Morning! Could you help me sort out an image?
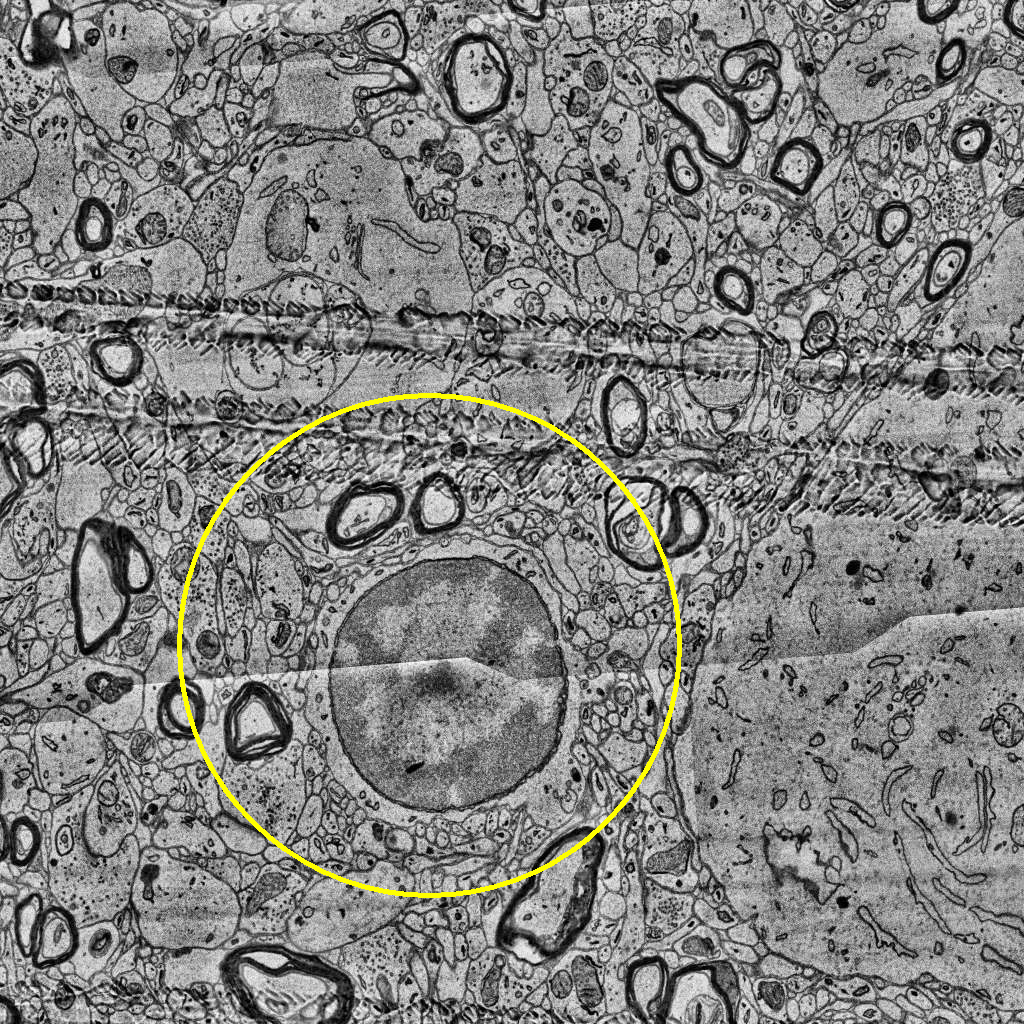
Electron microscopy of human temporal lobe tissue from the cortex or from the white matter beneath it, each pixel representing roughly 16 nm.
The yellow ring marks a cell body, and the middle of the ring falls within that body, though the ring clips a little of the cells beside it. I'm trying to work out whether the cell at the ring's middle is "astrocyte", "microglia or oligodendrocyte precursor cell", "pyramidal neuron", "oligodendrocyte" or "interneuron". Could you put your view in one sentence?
The cell body at the ring's middle is that of a microglial cell or oligodendrocyte precursor cell.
